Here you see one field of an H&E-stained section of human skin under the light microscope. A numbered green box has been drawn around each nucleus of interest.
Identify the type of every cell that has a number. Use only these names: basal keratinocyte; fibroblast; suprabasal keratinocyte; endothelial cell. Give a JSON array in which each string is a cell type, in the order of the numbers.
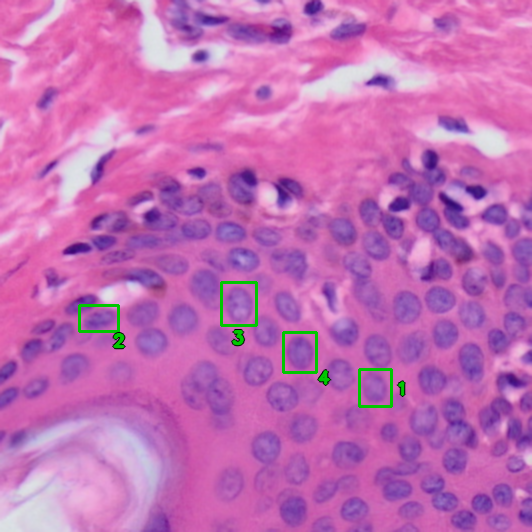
["suprabasal keratinocyte", "basal keratinocyte", "suprabasal keratinocyte", "suprabasal keratinocyte"]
